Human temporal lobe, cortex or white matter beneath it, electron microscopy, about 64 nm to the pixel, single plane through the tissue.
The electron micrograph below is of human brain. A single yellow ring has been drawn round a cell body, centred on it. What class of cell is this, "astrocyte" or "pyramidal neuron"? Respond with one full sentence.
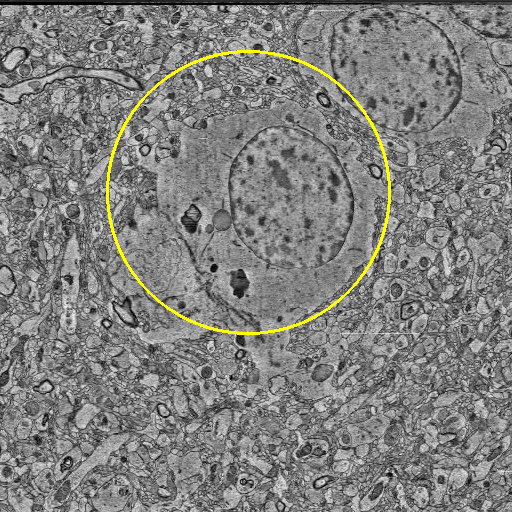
In the micrograph, the cell centred inside the yellow ring is an astrocyte.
